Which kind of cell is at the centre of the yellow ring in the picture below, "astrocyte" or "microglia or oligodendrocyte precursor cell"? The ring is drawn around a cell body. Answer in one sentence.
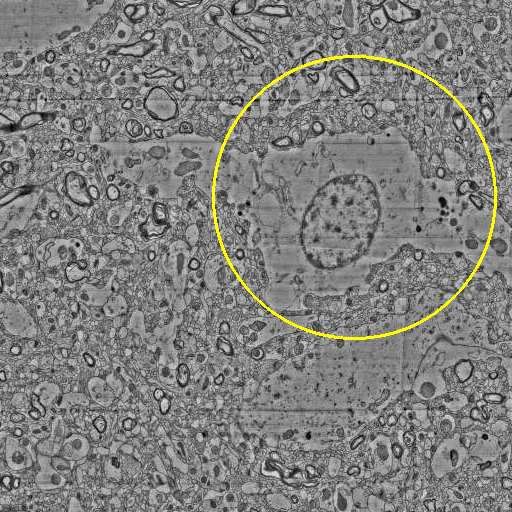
The ring's central cell is an astrocyte.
